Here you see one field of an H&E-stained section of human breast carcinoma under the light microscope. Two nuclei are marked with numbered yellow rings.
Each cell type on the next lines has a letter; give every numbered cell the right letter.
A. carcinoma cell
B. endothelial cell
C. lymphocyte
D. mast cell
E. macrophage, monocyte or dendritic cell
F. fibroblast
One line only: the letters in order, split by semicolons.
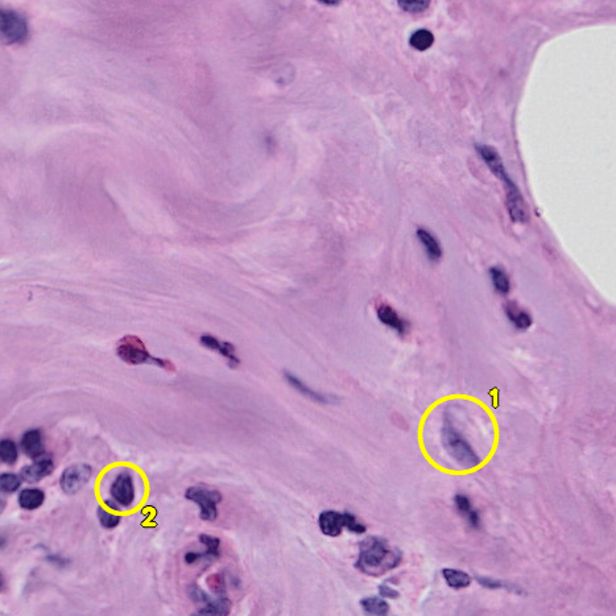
F; C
